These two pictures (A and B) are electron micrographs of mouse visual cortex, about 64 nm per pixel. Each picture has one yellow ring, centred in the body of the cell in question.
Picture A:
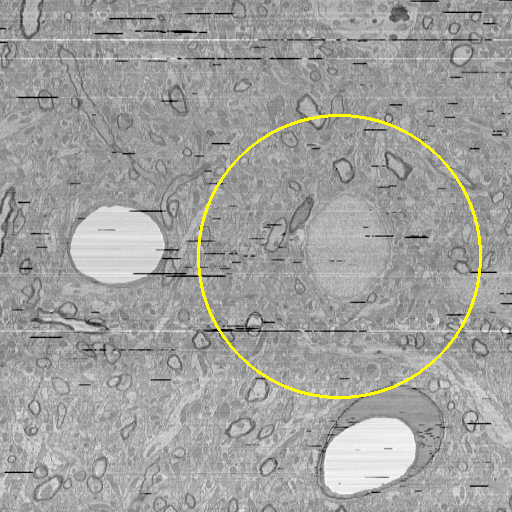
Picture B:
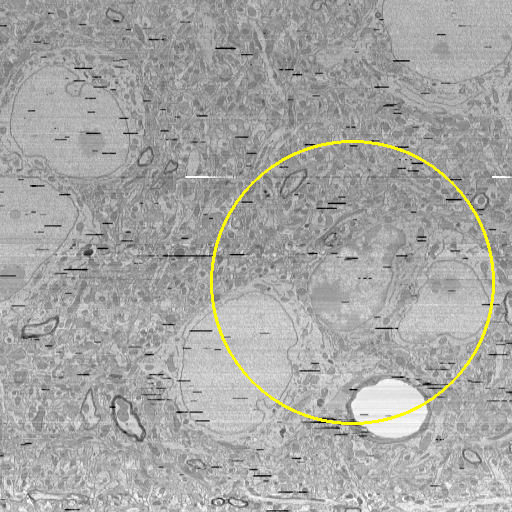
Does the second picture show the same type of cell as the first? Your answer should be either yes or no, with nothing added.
no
